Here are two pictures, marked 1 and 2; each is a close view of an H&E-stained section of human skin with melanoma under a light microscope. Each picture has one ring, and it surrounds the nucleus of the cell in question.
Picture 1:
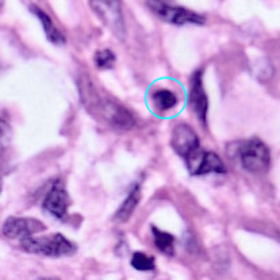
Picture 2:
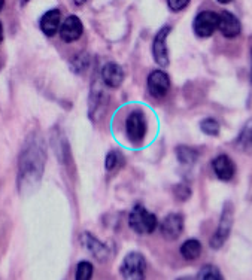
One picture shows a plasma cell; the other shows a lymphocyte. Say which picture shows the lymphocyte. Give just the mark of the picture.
1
